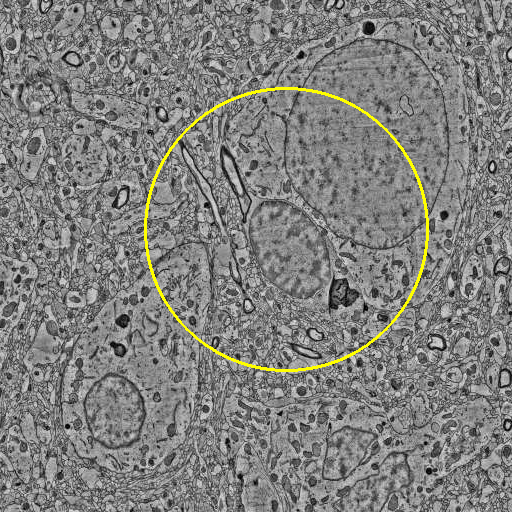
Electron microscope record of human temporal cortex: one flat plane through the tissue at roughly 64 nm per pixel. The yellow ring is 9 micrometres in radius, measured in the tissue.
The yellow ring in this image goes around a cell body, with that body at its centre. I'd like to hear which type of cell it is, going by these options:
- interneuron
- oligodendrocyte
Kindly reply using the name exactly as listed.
oligodendrocyte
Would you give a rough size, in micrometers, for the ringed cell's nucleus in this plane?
The nucleus is approximately 7 micrometers long by 5 micrometers wide in this plane.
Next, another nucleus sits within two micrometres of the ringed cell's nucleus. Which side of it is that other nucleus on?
The second nucleus is to the upper right of it.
